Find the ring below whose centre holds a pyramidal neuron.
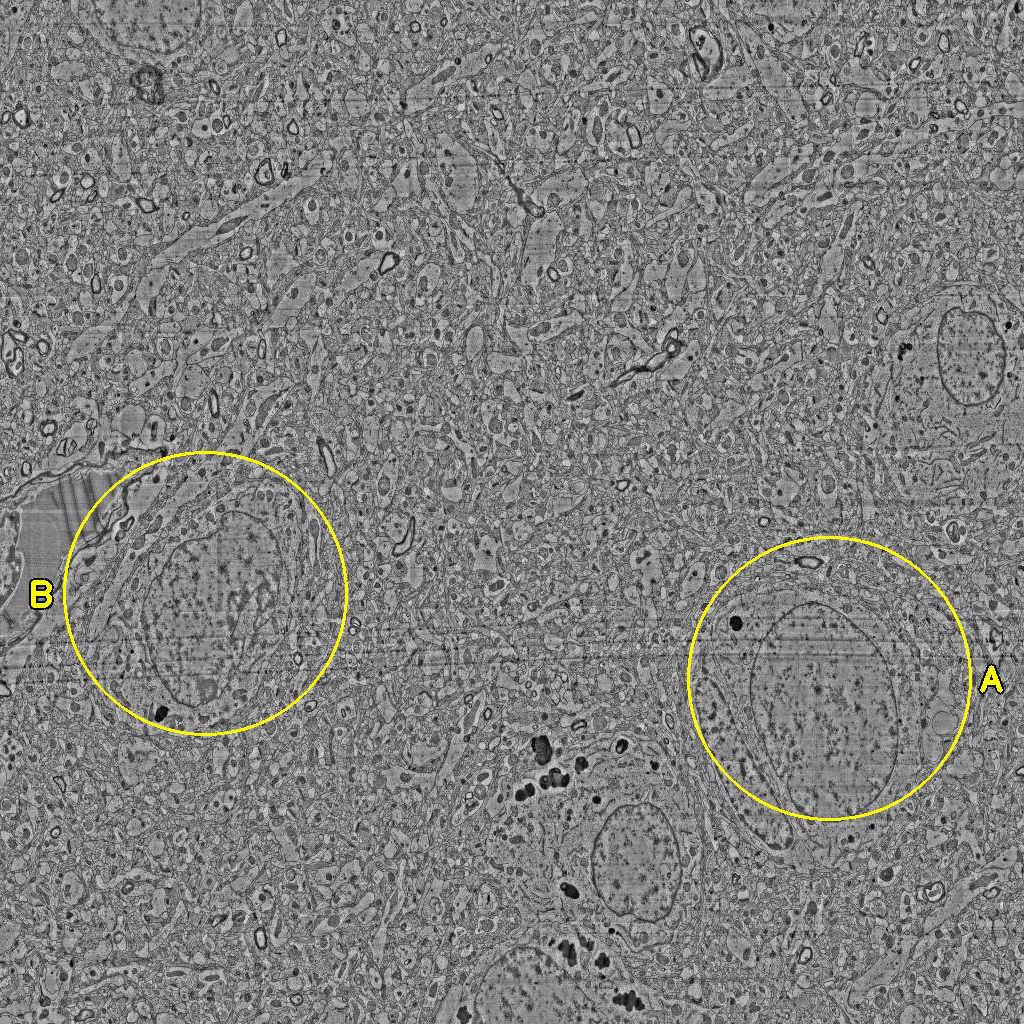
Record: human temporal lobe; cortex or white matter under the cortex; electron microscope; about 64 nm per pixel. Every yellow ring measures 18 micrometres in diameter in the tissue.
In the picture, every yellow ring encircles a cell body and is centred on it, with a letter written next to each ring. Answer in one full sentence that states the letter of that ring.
The ring centred on the cell asked for in the picture carries the letter A.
